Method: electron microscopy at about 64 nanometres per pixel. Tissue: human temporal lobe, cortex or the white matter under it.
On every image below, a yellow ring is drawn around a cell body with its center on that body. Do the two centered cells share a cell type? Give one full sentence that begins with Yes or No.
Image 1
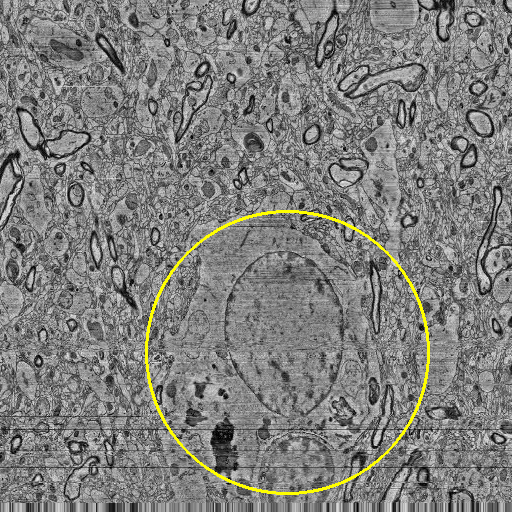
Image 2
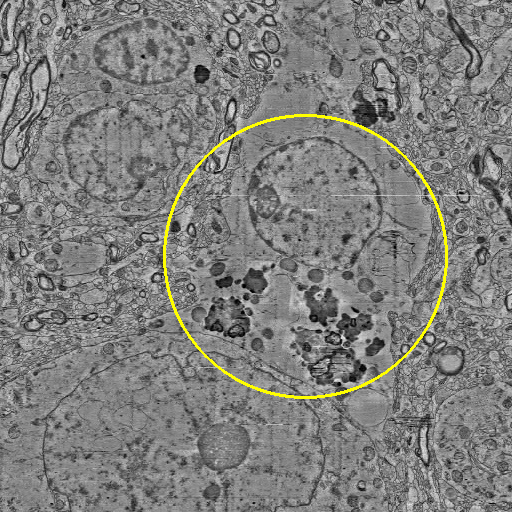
Yes, the centered cells in the two images are of a single cell type.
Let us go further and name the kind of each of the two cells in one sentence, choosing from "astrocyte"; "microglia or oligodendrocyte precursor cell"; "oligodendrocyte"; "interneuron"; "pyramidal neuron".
Each of the two rings is centred on an astrocyte.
